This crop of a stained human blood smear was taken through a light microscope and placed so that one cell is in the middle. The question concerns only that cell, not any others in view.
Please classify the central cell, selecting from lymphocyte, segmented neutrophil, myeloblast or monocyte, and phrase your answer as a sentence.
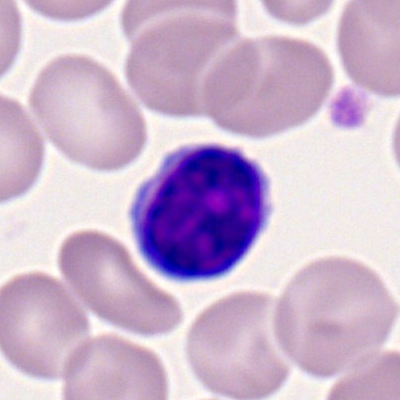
The cell in the exact centre of the crop is a lymphocyte.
